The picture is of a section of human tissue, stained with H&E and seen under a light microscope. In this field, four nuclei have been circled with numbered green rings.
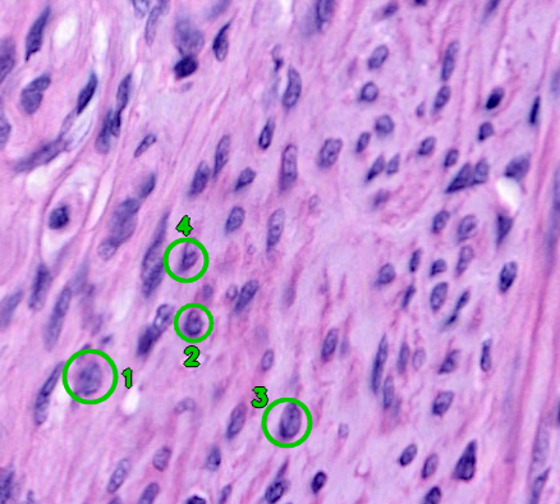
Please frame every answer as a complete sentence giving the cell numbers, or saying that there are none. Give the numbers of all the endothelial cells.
Among the labelled cells, only the cell labelled 1 is an endothelial cell.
